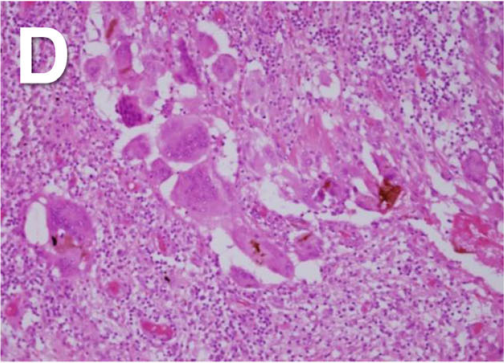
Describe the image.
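This field shows a granulomatous nodule containing foreign-body giant cells set among inflammatory cells. The giant cells are very large and rounded or irregular, each with many nuclei and abundant pink cytoplasm. Several giant cells contain brown material and some border clear spaces. They lie grouped together in a band through the field. Around them a dense sheet of small round cells with dark nuclei fills the rest of the tissue.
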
